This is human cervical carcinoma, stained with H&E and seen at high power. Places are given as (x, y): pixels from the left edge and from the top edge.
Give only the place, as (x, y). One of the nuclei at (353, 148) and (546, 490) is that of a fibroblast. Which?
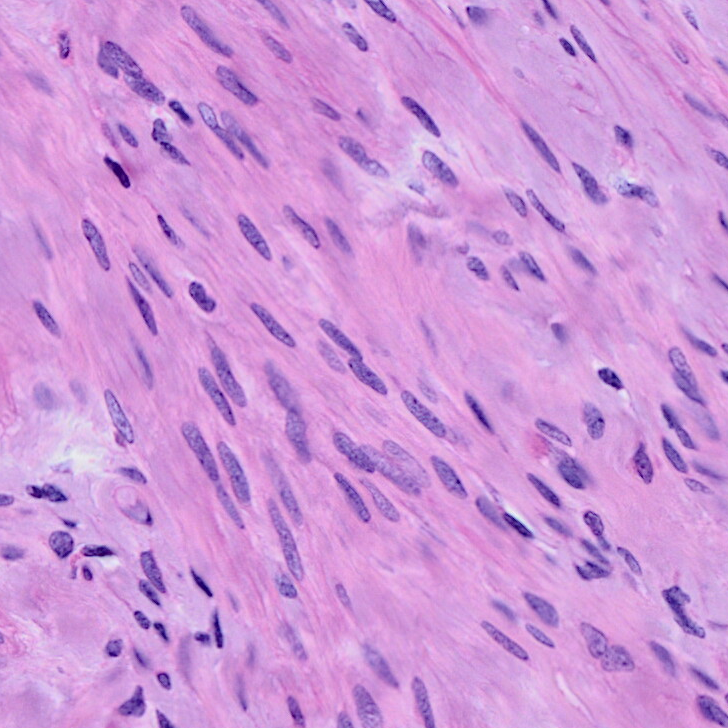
(546, 490)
